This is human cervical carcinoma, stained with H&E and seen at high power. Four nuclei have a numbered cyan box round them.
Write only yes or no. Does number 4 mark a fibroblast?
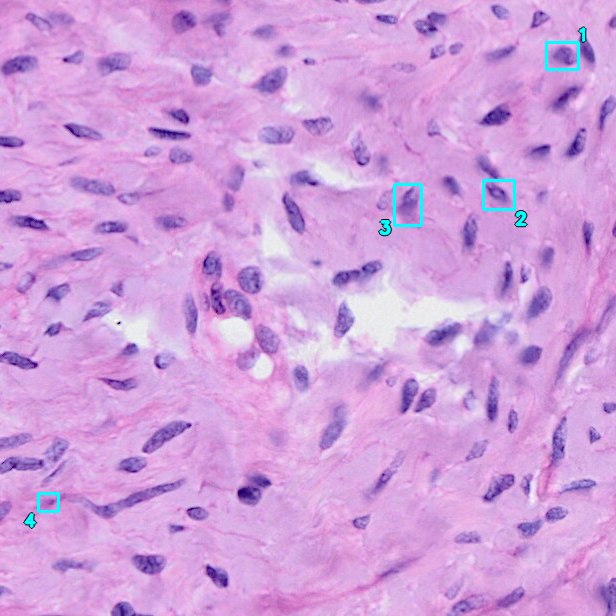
no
